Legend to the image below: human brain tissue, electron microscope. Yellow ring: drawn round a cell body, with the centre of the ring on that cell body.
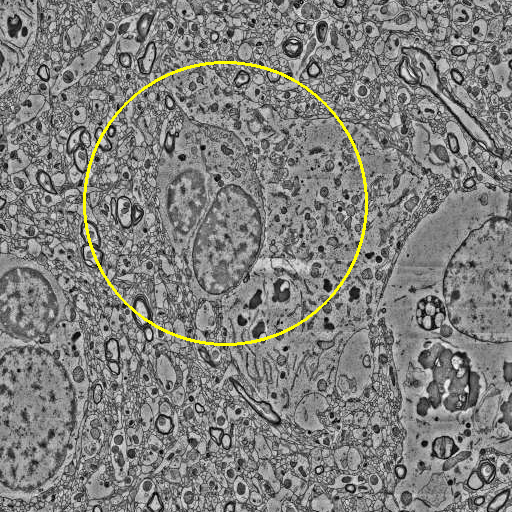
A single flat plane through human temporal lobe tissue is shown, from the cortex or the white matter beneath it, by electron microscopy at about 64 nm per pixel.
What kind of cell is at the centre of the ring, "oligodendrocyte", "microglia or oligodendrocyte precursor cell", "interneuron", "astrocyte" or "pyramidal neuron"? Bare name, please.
oligodendrocyte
